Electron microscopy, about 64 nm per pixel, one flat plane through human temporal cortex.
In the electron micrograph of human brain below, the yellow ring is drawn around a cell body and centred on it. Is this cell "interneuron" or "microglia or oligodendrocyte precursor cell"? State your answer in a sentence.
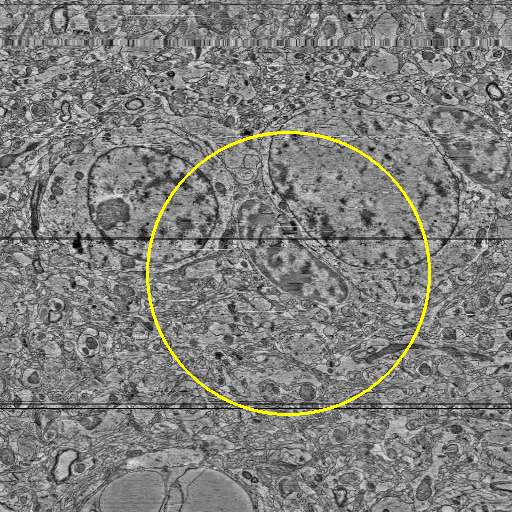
The cell in the middle of the ring is a microglial cell or oligodendrocyte precursor cell.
